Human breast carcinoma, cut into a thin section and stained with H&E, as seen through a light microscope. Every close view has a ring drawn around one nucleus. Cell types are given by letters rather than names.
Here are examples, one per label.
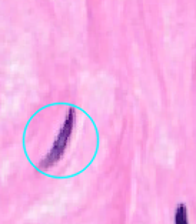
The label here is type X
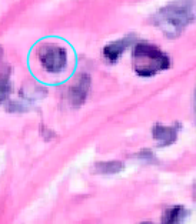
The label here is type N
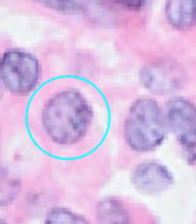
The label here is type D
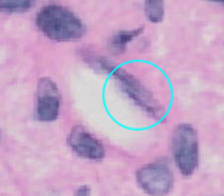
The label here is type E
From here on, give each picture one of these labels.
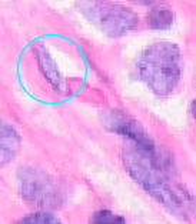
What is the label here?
type E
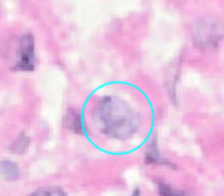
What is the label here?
type D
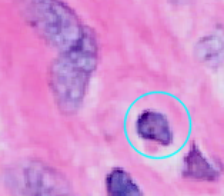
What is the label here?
type N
